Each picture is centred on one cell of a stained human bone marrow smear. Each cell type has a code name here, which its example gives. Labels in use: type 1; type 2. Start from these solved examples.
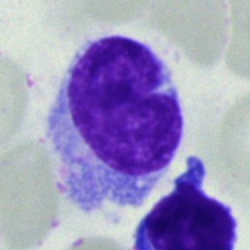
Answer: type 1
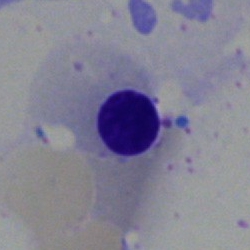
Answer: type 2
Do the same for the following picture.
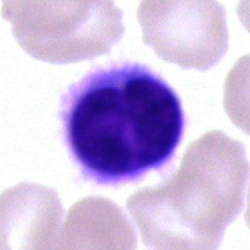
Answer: type 1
